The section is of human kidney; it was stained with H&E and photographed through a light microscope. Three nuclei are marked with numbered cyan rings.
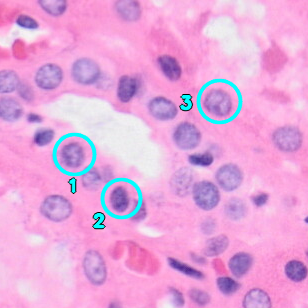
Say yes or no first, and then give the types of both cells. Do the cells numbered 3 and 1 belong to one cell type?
No, cell 3 is a proximal tubule cell, whereas cell 1, for its part, is a collecting duct cell.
